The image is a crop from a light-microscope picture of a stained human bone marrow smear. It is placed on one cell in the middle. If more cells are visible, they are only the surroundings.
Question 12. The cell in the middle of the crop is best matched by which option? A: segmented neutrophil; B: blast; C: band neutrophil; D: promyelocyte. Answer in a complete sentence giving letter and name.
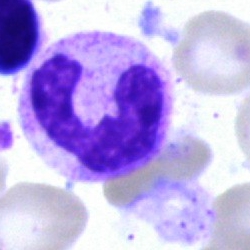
The cell centred in the crop is a segmented neutrophil, and the correct option is thus A.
